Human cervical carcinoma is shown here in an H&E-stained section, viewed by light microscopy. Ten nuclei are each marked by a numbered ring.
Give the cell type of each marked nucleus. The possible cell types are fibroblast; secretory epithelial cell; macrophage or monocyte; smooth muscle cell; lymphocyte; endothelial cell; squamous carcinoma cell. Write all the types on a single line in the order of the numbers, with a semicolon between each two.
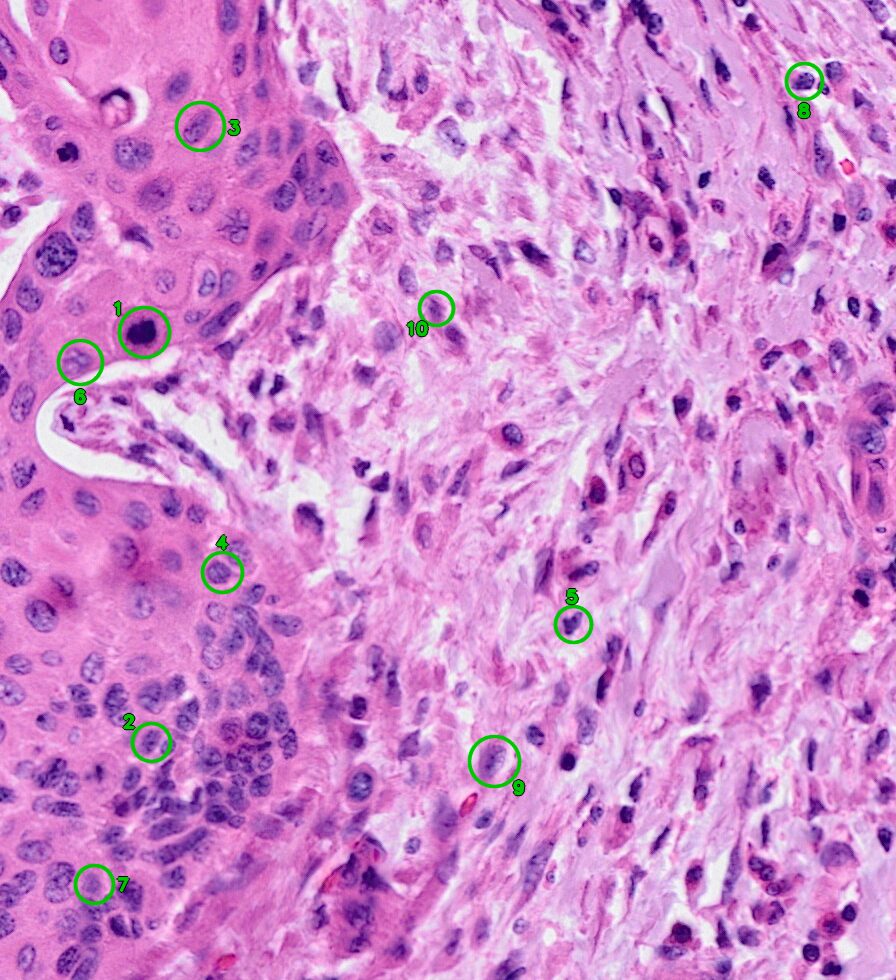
squamous carcinoma cell; squamous carcinoma cell; squamous carcinoma cell; squamous carcinoma cell; lymphocyte; squamous carcinoma cell; squamous carcinoma cell; lymphocyte; endothelial cell; fibroblast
